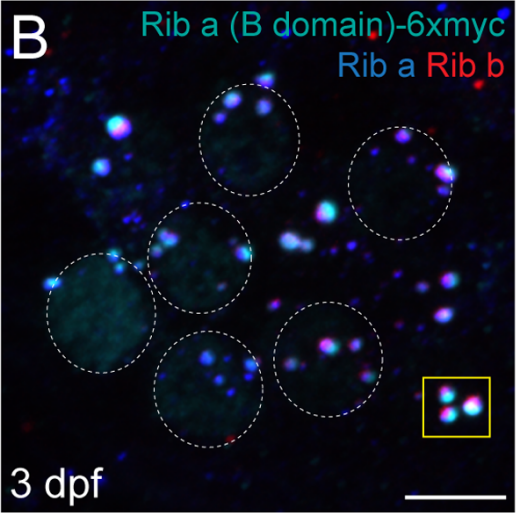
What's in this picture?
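The view shows a cluster of sensory hair cells seen from above, each marked by a round, cell-sized area of faint diffuse cyan. Some puncta appear as pairs or small groups, and a few show red and blue offset from the cyan. Between the cells the background is dark with scattered faint blue specks.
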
